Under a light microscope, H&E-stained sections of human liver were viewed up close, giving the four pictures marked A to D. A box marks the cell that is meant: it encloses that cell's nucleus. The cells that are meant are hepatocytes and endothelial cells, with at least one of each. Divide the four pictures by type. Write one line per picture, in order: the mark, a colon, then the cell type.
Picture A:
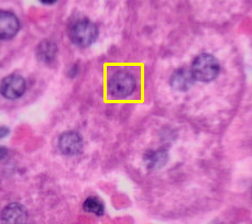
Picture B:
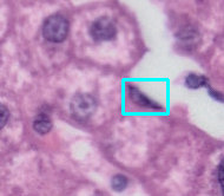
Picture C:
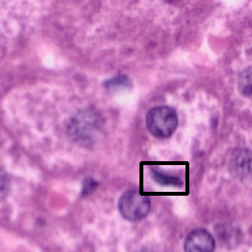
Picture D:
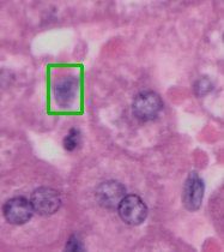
A: hepatocyte
B: endothelial cell
C: endothelial cell
D: endothelial cell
